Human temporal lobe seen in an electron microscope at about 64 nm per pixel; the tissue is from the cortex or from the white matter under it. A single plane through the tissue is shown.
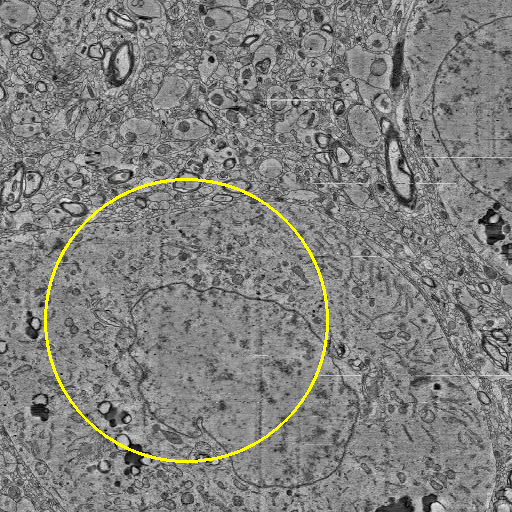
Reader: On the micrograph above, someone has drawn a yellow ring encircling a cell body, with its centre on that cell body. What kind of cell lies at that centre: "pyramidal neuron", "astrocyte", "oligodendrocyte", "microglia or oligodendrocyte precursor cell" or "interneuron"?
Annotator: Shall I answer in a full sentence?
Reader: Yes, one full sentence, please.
Here a pyramidal neuron sits at the centre of the yellow ring drawn on the micrograph.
